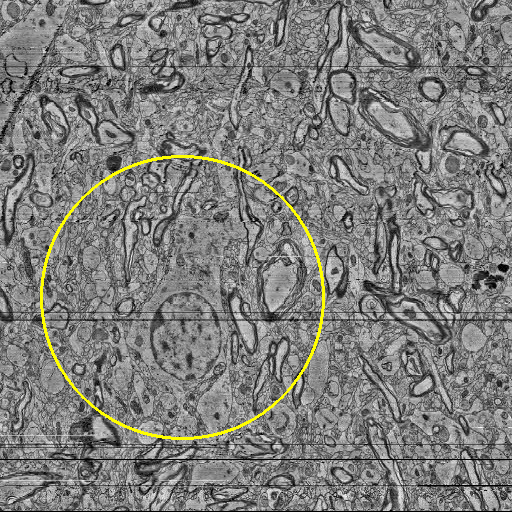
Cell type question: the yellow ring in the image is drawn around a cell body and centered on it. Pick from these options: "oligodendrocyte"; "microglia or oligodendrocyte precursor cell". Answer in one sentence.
The ringed cell at the center is a microglial cell or oligodendrocyte precursor cell.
